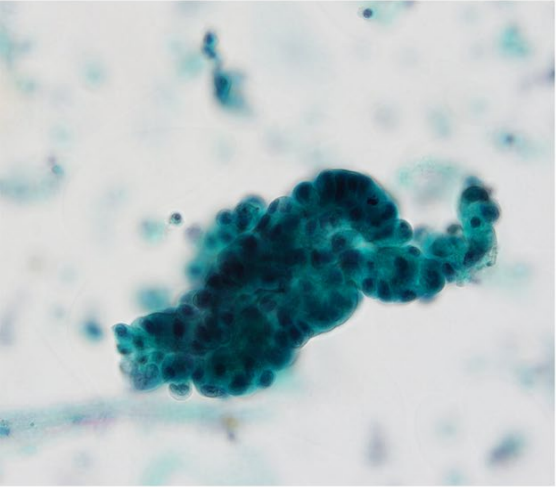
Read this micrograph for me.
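This is a cluster of free-lying cancer cells in a cytology preparation, forming a dense three-dimensional clump against an otherwise sparse background. The cells are crowded and overlapping, with enlarged dark nuclei and scant blue-green cytoplasm, giving a high nuclear-to-cytoplasmic ratio.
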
